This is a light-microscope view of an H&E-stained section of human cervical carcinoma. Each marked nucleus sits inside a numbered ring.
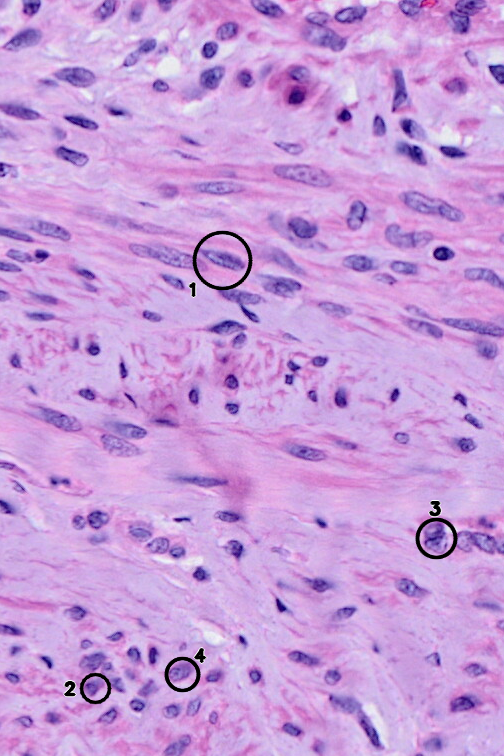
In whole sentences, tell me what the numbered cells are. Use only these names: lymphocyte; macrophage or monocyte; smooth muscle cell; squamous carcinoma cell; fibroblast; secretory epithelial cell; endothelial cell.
Cells 1, 2 and 4 are smooth muscle cells. Cell 3 is an endothelial cell.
